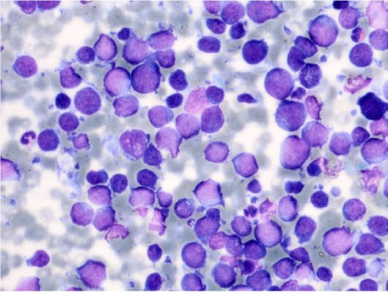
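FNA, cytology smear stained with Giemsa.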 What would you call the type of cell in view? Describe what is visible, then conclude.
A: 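Densely cellular smear of discohesive round cells. Many cells are large, with round nuclei and a rim of deep blue cytoplasm.
Lymphoma cells.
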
